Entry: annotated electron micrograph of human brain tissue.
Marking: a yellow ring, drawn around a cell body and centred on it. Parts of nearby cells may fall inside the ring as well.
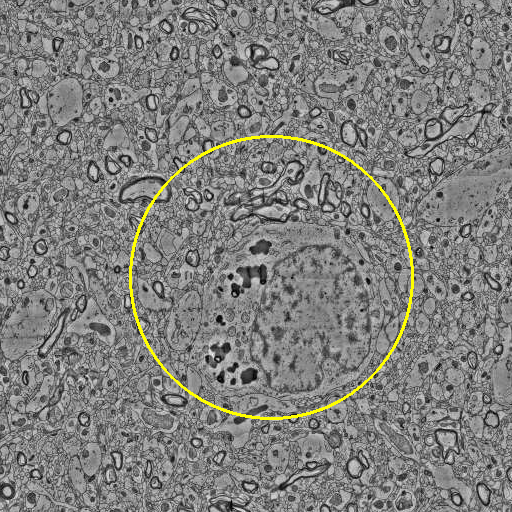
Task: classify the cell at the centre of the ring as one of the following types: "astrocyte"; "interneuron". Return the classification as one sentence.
The marked cell is classified as an interneuron.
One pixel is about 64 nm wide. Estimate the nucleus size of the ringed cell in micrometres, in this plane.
About 10 by 8 micrometres in this plane.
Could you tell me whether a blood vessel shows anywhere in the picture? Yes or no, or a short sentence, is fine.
No, none is visible.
